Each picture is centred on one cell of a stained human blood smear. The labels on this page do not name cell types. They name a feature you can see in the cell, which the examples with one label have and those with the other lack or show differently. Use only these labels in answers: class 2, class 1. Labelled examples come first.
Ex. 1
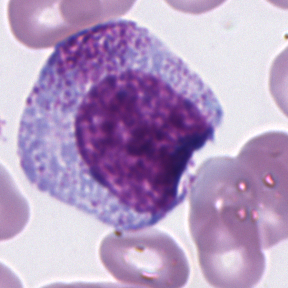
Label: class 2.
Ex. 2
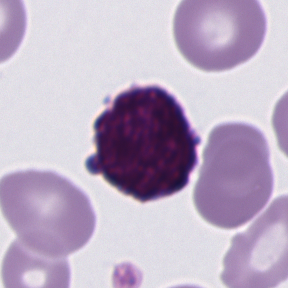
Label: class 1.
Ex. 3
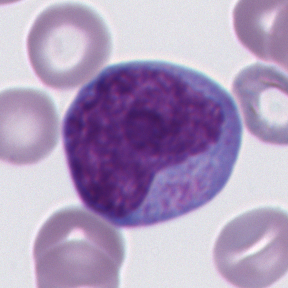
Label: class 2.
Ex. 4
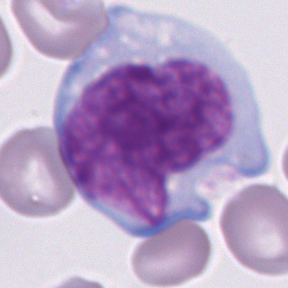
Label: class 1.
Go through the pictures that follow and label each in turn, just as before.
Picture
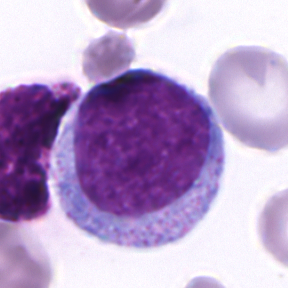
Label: class 2.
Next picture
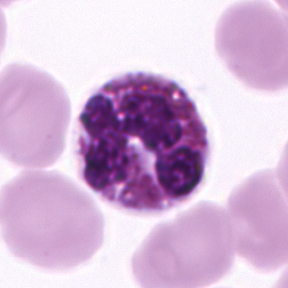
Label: class 2.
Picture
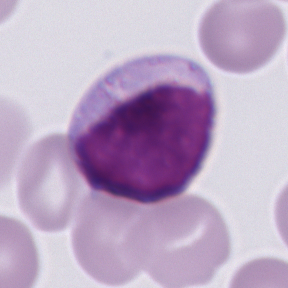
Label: class 2.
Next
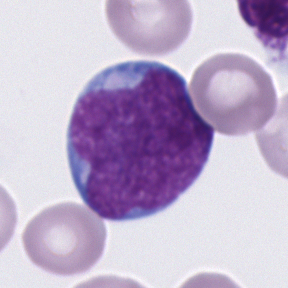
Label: class 2.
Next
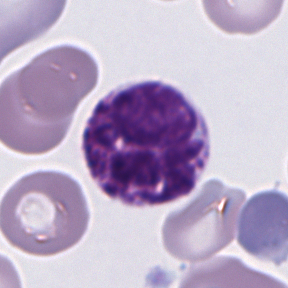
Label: class 2.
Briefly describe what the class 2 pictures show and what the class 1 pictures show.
class 2: smooth outline; class 1: ragged outline or projections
